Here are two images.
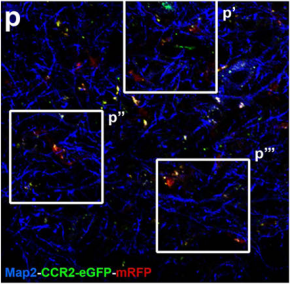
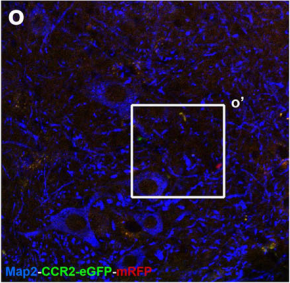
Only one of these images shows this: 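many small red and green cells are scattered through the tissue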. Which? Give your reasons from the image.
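First image: many small red, green and yellow bodies are scattered among the blue processes. Second image: only faint, sparse green and red specks are seen among the blue processes and large cell bodies. So: the first image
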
